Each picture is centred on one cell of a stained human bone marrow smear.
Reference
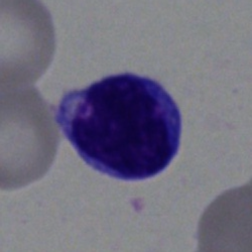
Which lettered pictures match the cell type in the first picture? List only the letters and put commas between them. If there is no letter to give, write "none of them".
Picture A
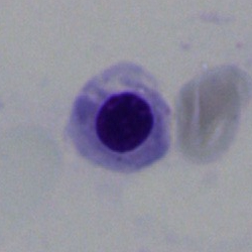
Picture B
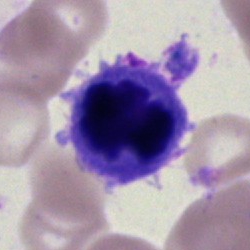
none of them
